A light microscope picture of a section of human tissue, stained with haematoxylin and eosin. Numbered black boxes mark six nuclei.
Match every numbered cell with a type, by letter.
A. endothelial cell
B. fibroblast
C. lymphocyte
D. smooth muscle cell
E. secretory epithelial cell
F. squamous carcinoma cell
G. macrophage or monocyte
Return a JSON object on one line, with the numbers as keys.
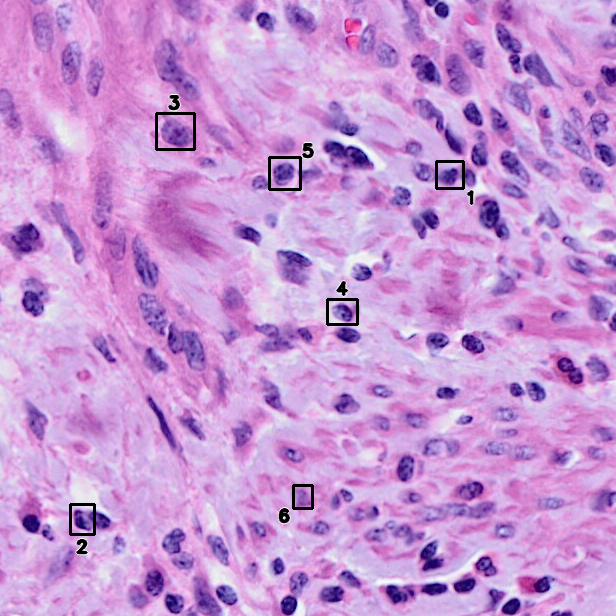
{"1": "C", "2": "C", "3": "G", "4": "C", "5": "C", "6": "D"}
